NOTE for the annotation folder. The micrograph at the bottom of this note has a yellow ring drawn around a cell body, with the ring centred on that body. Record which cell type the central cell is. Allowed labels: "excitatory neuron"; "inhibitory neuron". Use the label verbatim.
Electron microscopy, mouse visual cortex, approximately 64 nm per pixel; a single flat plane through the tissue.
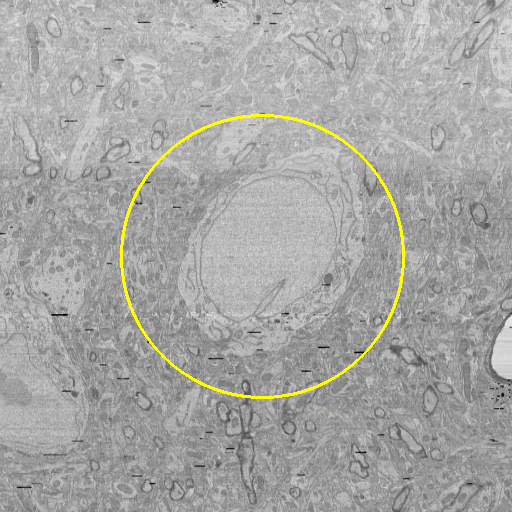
inhibitory neuron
